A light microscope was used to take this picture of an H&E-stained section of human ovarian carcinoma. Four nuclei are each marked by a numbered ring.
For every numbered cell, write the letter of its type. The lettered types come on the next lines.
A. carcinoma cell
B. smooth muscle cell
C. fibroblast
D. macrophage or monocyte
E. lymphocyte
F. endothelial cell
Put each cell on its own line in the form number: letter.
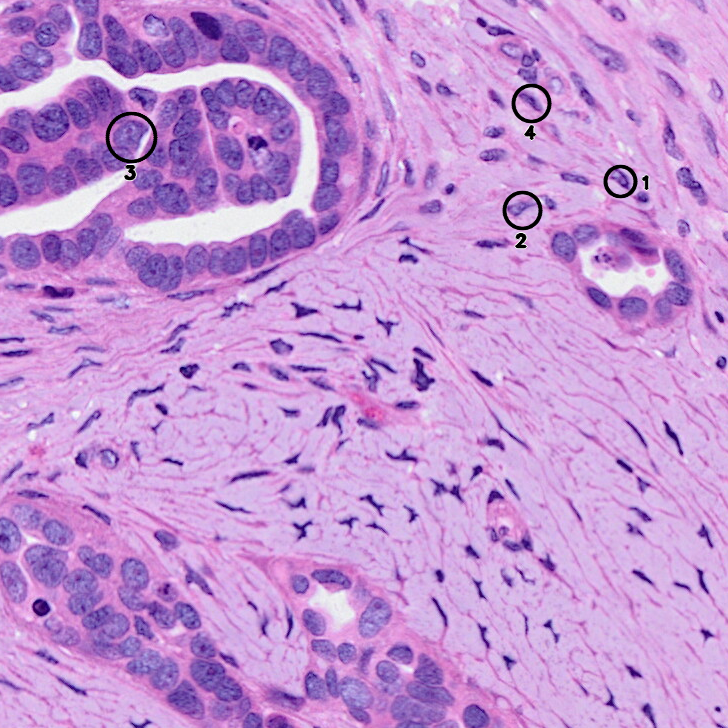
1: C
2: C
3: A
4: C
